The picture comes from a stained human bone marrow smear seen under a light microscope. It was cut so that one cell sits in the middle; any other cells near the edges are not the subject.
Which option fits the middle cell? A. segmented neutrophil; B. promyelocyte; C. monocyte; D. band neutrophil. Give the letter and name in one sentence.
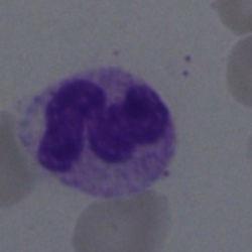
Well, the cell in the middle is a segmented neutrophil, making option A right.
